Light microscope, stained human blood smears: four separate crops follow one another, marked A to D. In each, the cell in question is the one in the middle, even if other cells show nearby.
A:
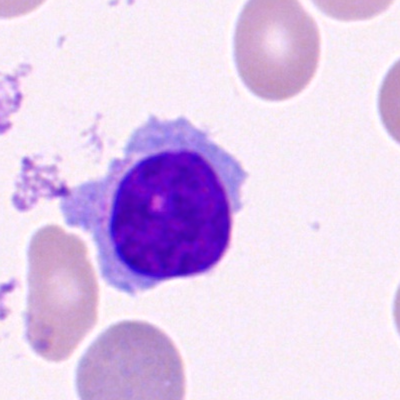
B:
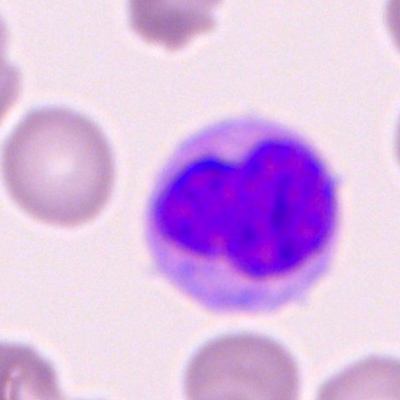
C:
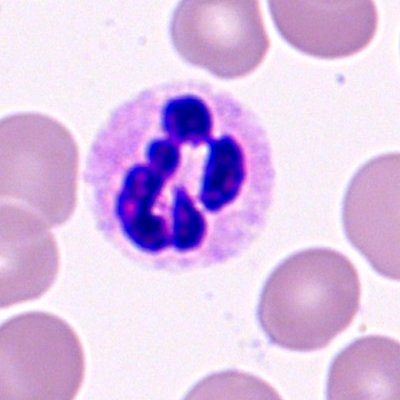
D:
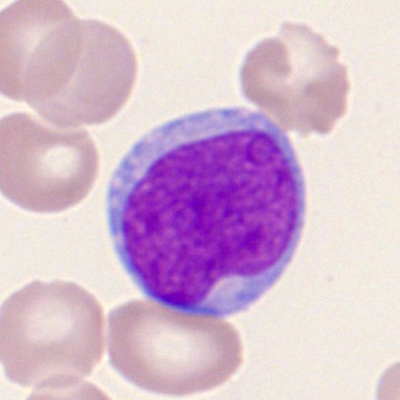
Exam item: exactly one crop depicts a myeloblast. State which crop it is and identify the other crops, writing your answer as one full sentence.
Going crop by crop, crop D is a myeloblast, while crop A is a lymphocyte, crop B is a monocyte and crop C is a segmented neutrophil.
